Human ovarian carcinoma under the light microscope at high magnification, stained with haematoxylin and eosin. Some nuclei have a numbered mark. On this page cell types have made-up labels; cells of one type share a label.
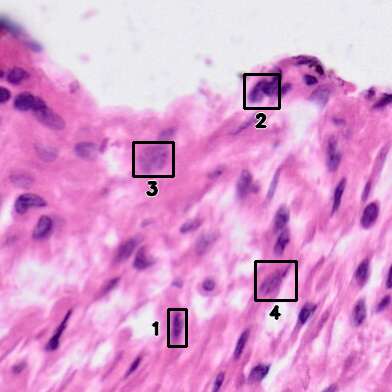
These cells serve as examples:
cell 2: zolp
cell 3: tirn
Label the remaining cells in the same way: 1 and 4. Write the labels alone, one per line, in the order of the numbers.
tirn
tirn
